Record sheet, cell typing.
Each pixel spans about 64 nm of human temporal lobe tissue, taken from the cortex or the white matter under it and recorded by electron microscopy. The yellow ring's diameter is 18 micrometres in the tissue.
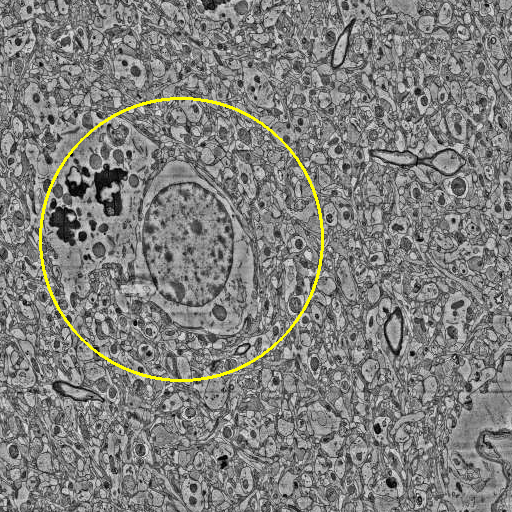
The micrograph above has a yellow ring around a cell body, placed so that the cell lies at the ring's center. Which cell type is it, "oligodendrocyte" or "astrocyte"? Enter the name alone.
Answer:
astrocyte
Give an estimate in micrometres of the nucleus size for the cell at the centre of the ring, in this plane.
About 8 by 6 micrometres in this plane.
